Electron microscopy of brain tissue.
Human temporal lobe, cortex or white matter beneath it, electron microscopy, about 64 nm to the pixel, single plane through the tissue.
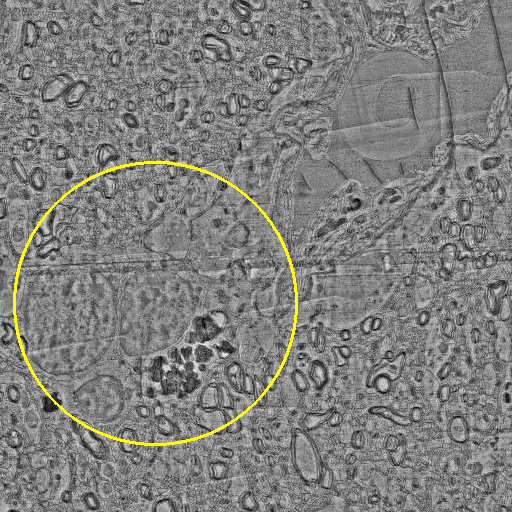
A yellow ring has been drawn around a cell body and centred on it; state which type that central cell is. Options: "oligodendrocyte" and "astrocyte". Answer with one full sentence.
The cell at the middle of the yellow ring is an oligodendrocyte in this picture.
